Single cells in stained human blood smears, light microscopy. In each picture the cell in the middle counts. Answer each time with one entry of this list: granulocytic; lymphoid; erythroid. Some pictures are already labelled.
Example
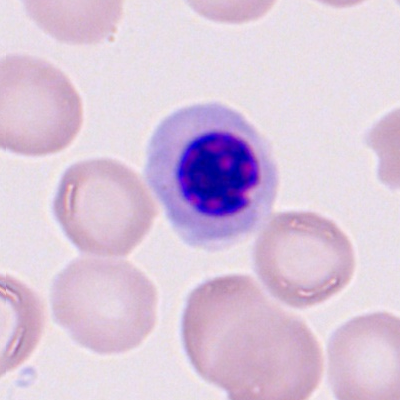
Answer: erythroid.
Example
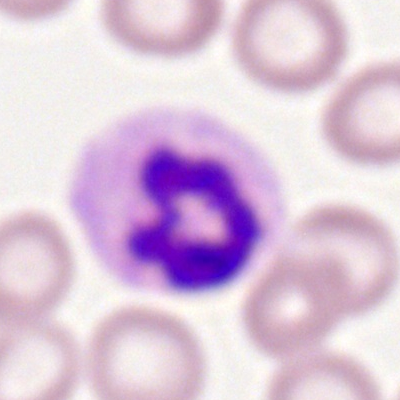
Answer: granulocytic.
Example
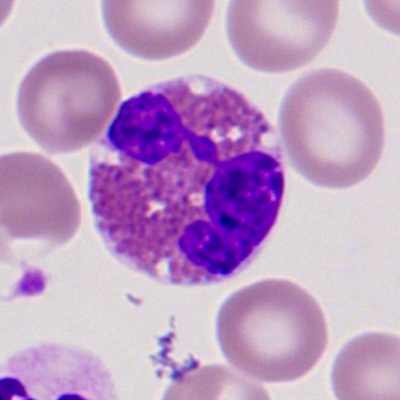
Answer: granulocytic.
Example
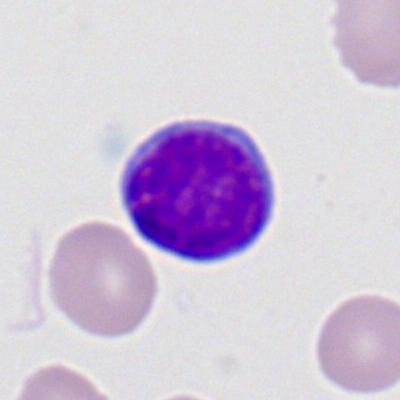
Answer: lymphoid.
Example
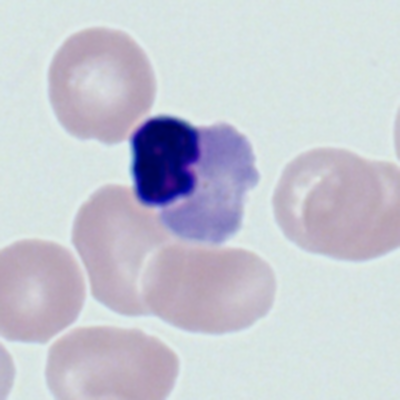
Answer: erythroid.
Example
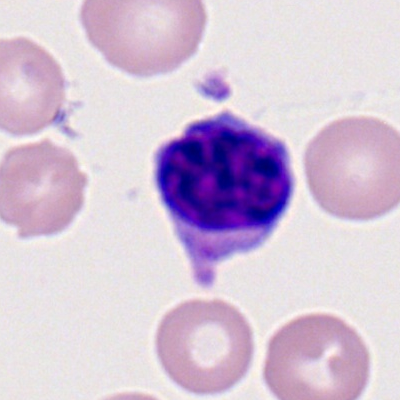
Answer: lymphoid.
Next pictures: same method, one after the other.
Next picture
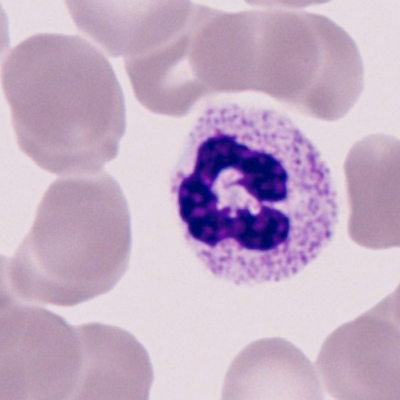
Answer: granulocytic.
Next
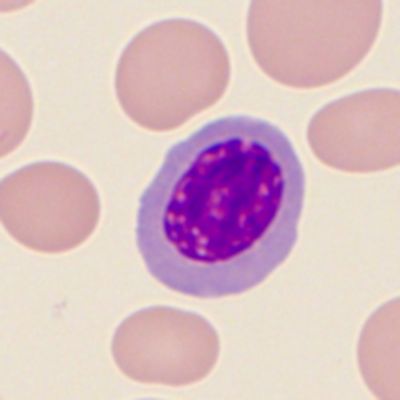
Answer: erythroid.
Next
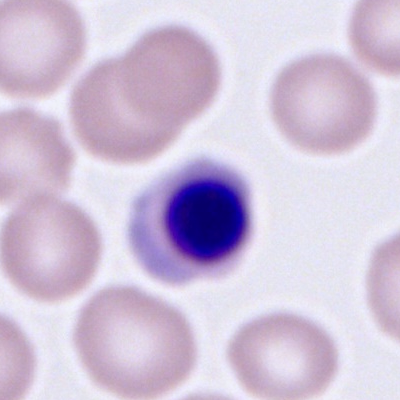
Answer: erythroid.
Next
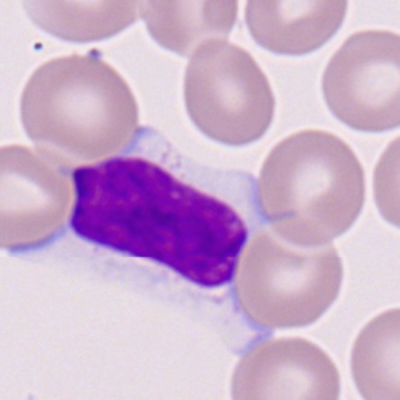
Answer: lymphoid.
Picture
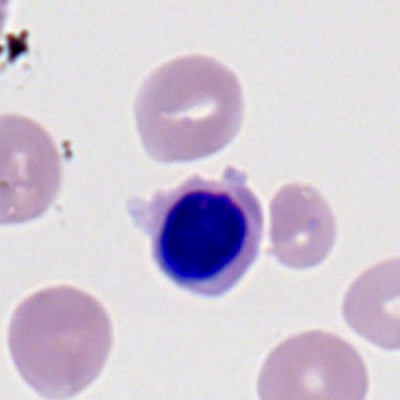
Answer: erythroid.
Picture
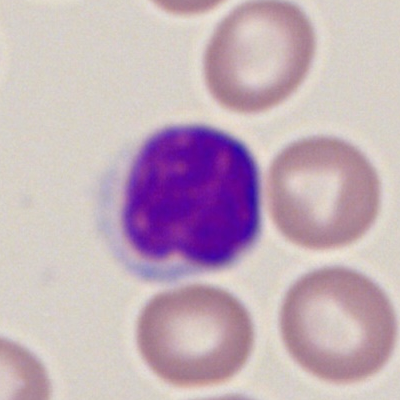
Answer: lymphoid.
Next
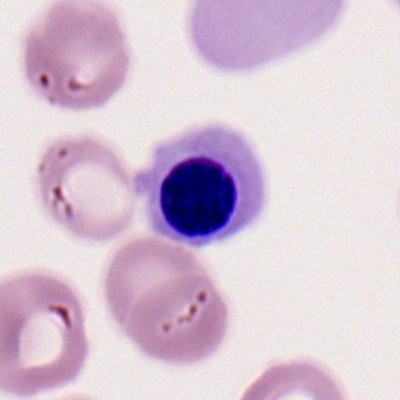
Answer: erythroid.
